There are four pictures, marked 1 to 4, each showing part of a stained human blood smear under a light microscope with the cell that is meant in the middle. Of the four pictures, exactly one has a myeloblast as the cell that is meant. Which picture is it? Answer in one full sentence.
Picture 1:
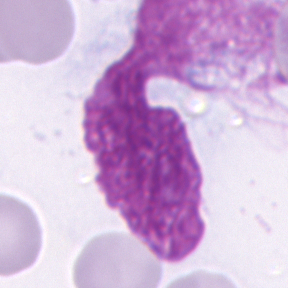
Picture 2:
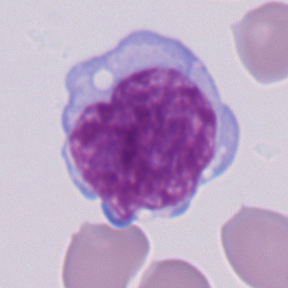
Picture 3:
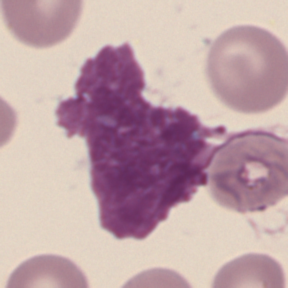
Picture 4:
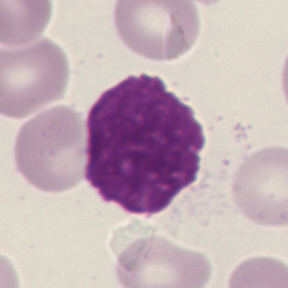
It is picture 2 that shows the myeloblast.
